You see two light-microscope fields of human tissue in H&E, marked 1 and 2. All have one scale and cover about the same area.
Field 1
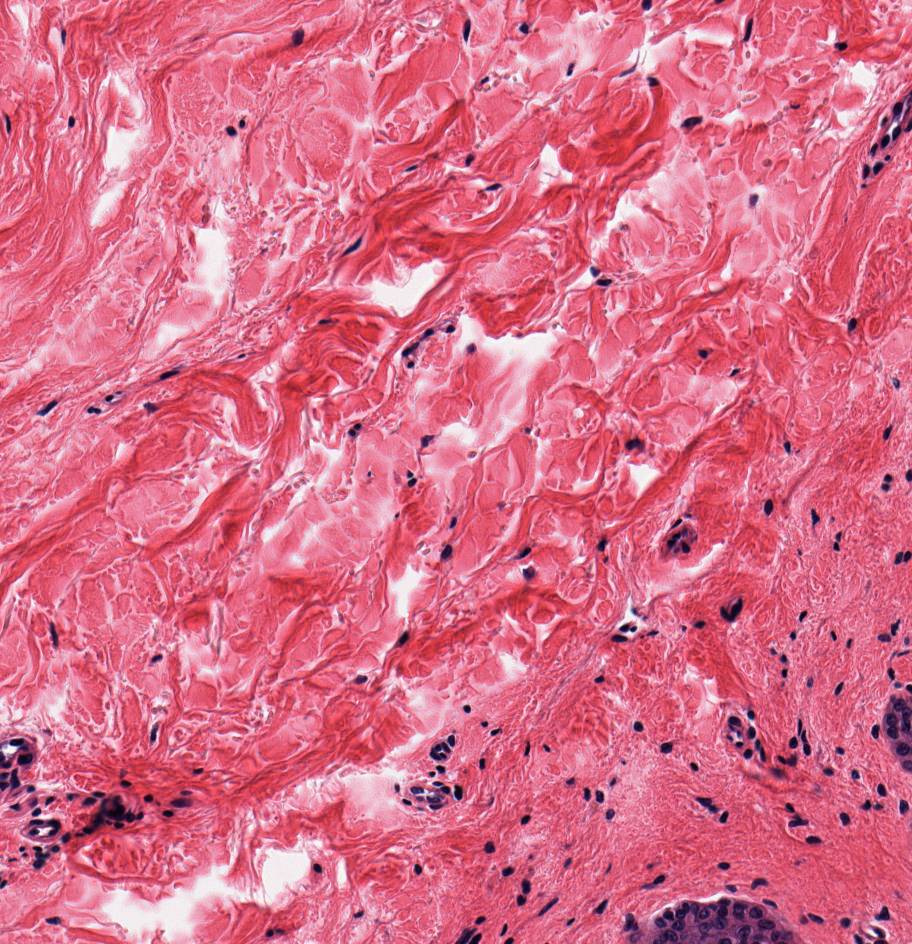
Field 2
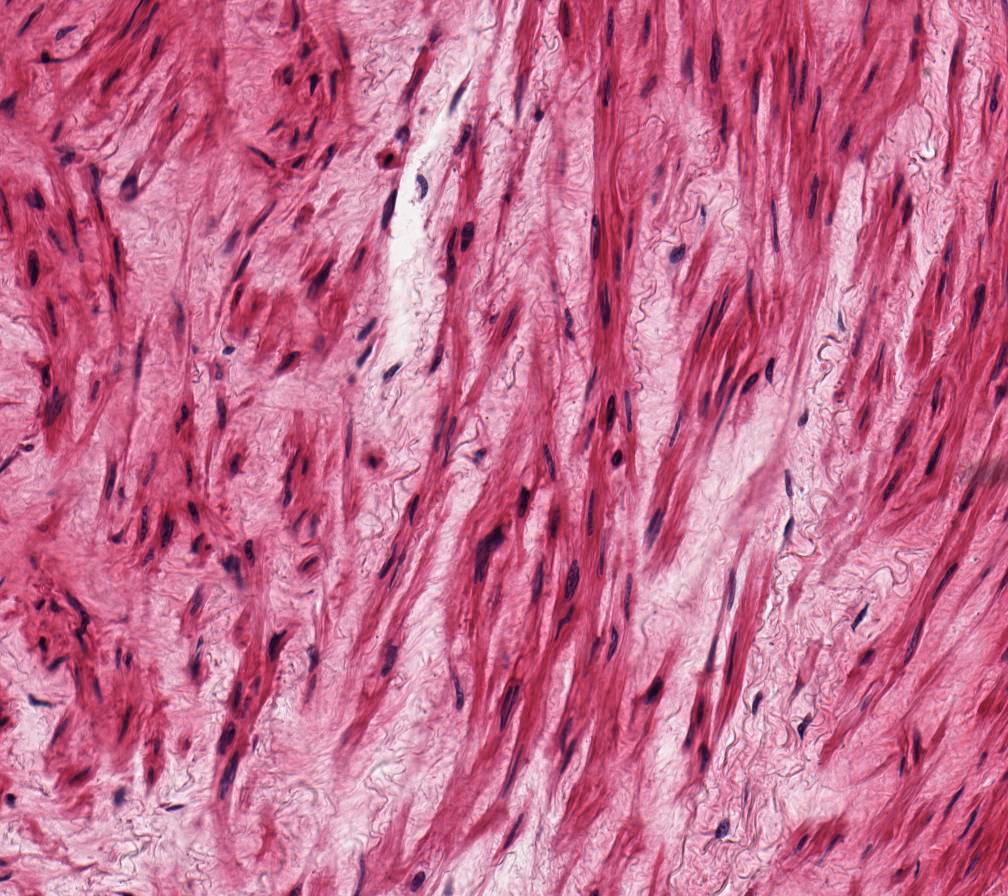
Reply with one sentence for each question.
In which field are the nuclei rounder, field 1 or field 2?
Rounder nuclei lie in field 1.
